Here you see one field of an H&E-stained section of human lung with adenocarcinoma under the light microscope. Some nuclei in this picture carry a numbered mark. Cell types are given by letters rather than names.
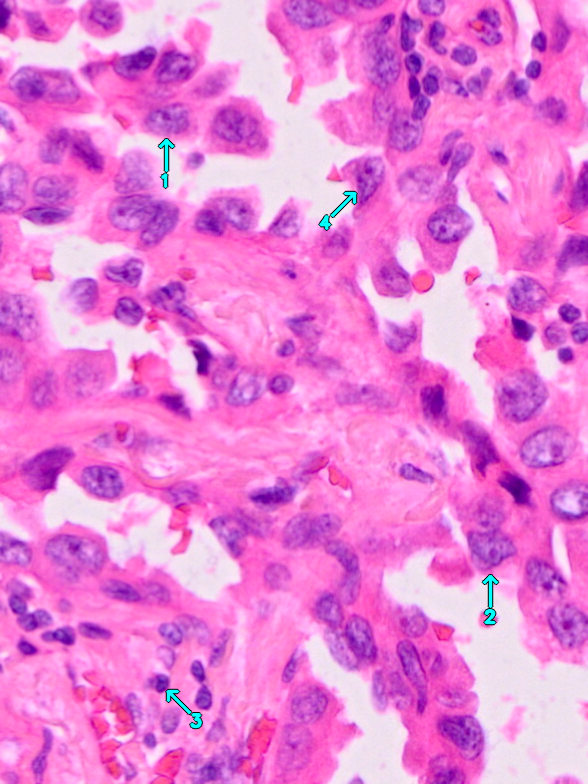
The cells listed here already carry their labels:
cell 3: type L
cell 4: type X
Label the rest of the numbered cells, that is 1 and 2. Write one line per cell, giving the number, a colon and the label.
1: type X
2: type X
